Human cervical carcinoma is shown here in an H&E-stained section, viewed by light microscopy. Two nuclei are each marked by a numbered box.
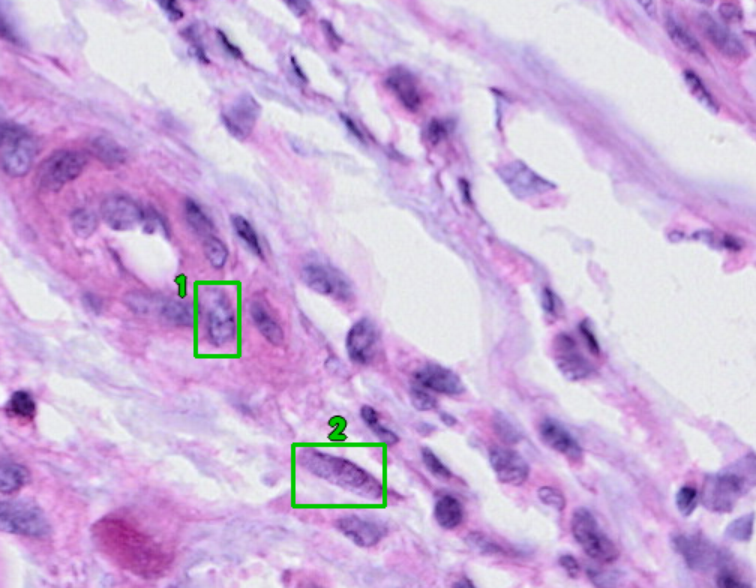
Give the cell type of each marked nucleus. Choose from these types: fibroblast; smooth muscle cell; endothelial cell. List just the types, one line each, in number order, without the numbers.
smooth muscle cell
fibroblast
